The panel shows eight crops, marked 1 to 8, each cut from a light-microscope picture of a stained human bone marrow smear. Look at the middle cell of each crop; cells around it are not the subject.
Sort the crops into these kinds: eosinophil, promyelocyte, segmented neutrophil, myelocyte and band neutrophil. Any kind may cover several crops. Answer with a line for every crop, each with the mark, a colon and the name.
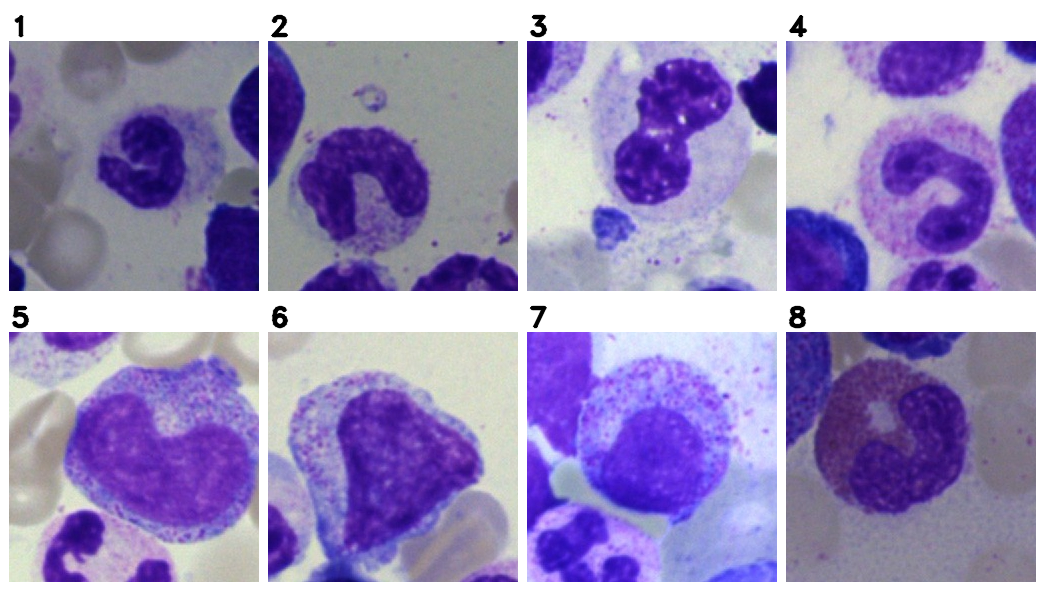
1: segmented neutrophil
2: band neutrophil
3: band neutrophil
4: band neutrophil
5: promyelocyte
6: myelocyte
7: myelocyte
8: eosinophil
